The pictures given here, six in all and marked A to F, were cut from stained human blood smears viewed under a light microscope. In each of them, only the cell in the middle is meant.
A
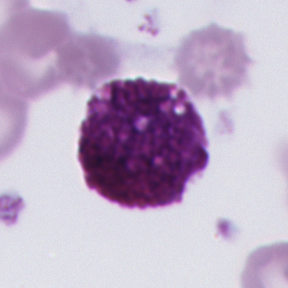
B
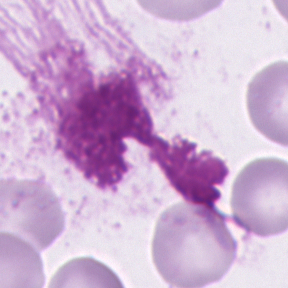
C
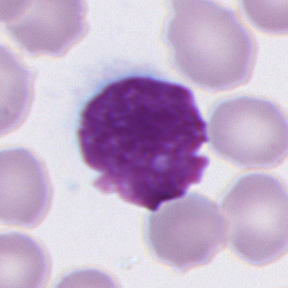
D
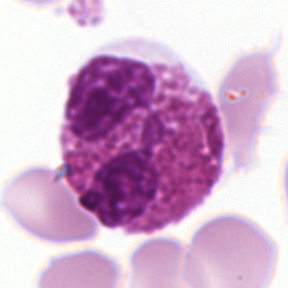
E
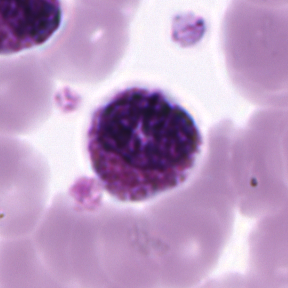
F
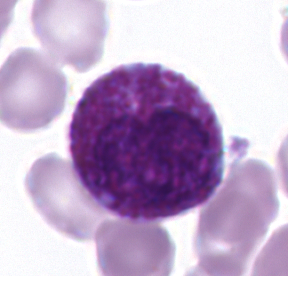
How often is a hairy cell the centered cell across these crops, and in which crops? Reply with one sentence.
The count is zero, since none of the crops contains hairy cells.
